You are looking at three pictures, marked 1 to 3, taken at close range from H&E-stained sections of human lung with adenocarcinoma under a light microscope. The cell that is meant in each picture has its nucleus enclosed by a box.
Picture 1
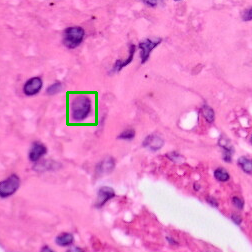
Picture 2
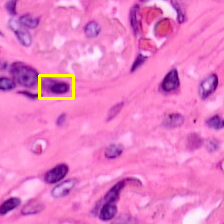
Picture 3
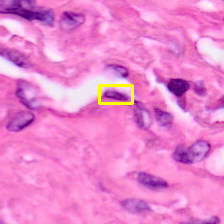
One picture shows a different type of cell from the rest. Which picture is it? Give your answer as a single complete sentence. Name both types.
The different one is picture 3; it shows an endothelial cell, whereas all the others show plasma cells.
